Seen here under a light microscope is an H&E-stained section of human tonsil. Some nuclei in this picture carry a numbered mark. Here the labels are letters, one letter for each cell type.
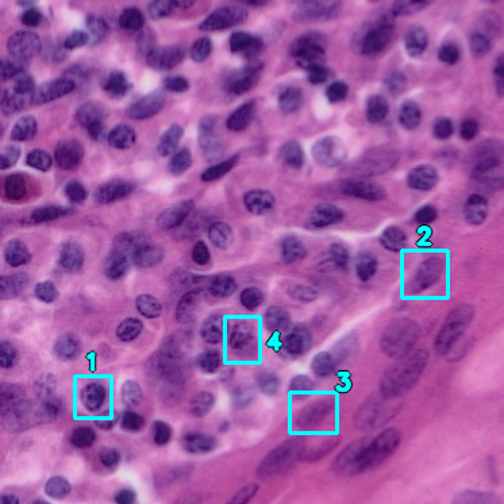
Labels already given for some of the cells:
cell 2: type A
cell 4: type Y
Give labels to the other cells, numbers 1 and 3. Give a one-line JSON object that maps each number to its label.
{"1": "type Y", "3": "type A"}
